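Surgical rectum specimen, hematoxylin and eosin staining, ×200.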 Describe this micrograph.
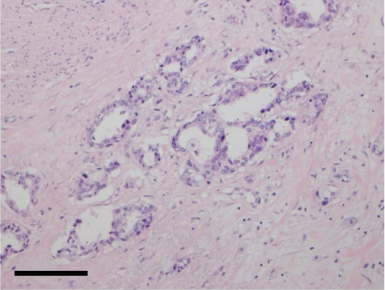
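The glands are irregular in size and shape, with open lumens, and each is lined by a single layer of cells with purple nuclei. They lie scattered in a pale pink fibrous stroma with sparse spindle-shaped nuclei.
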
